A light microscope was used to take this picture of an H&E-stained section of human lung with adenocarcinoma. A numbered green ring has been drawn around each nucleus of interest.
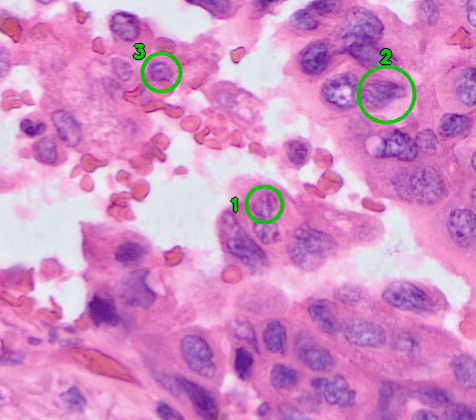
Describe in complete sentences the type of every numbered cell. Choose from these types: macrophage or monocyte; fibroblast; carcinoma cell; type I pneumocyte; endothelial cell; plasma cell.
Cells 1 and 2 are carcinoma cells. Cell 3 is a macrophage or monocyte.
